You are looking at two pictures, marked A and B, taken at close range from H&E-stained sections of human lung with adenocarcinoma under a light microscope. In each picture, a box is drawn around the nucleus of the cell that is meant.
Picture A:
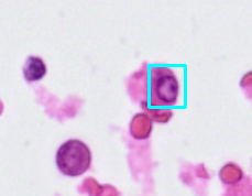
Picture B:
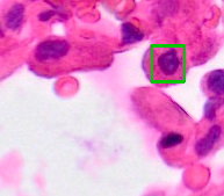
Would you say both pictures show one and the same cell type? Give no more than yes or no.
yes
